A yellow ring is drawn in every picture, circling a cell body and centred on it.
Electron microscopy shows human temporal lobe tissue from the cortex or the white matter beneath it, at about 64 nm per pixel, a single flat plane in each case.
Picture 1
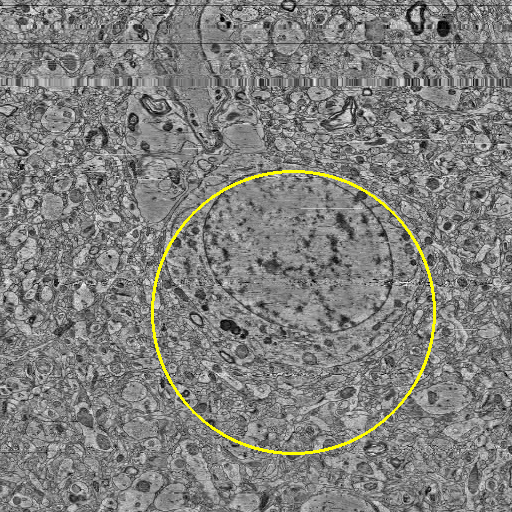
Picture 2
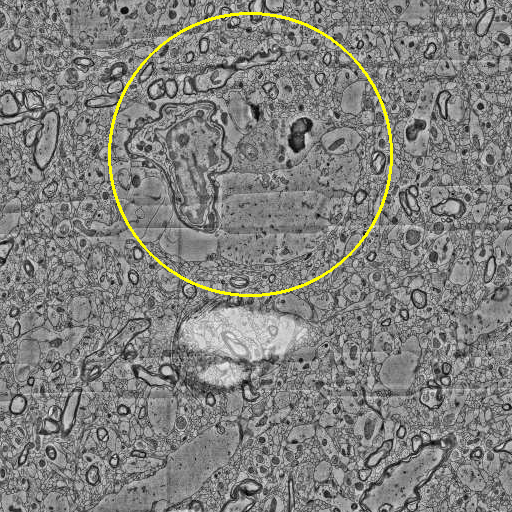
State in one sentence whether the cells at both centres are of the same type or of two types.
The cells at the two ring centres, one per picture, are of two types.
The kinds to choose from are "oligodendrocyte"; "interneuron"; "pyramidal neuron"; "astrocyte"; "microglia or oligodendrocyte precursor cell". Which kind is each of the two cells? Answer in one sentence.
Of the two, the first cell is a pyramidal neuron and the second cell is an oligodendrocyte.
